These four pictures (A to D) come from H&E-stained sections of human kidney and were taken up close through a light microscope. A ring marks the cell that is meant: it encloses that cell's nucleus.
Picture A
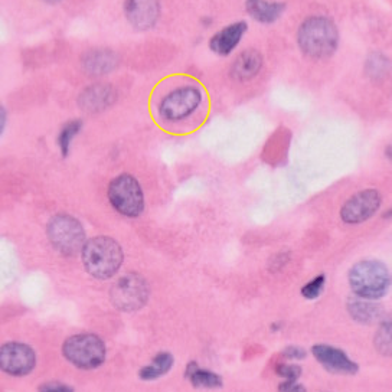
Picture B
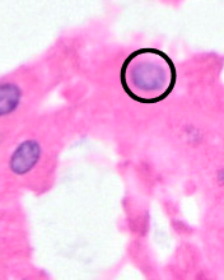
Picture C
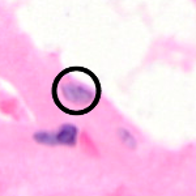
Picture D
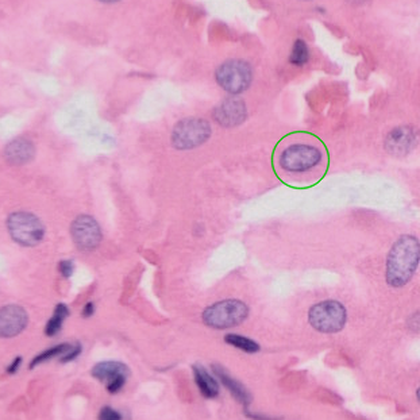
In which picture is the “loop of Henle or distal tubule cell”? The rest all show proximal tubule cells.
C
